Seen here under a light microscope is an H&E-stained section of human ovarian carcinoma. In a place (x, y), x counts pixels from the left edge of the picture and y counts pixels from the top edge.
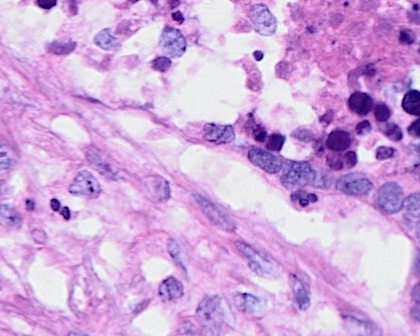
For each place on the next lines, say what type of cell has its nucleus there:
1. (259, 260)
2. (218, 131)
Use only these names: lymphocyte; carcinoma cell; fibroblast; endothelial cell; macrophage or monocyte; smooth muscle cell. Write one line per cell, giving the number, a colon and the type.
1: fibroblast
2: macrophage or monocyte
